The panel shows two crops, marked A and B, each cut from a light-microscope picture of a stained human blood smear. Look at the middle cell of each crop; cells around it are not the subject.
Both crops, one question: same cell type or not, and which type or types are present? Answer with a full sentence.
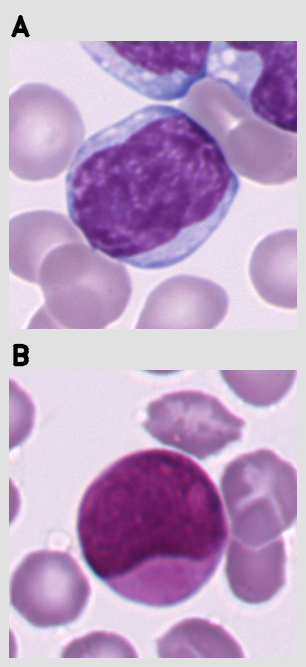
Yes, the cells in the centres of the two crops are myeloblasts.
